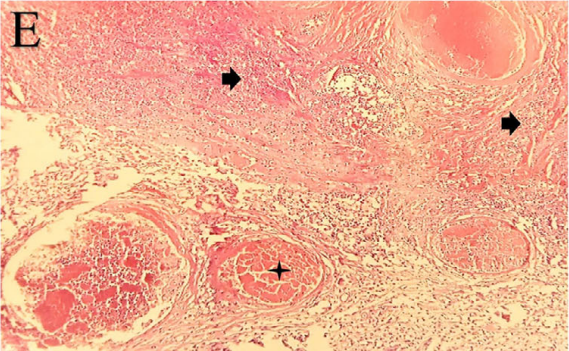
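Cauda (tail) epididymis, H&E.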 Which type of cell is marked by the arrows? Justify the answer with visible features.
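The arrows point at areas crowded with small dark round nuclei. These crowded areas lie in the tissue between the tubular structures. That points to this answer: inflammatory cells.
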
